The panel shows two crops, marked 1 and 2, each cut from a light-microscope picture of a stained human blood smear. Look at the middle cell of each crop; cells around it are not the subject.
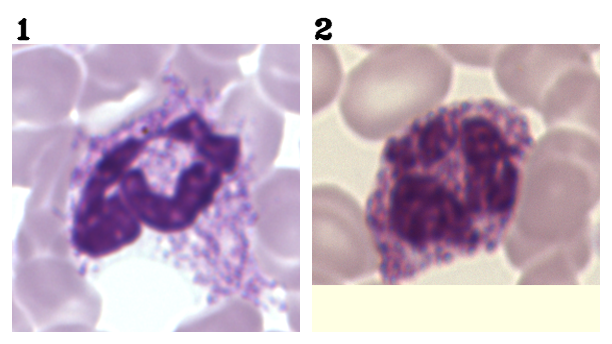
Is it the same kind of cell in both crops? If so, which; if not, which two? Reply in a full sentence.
No, crop 1 depicts a segmented neutrophil, and crop 2 depicts a basophil.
